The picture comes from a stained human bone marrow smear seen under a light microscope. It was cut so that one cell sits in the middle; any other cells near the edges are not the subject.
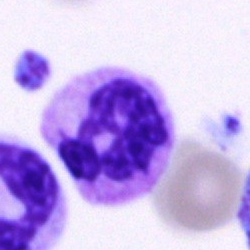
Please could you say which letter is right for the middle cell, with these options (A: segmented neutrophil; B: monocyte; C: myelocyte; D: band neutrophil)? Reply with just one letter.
A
